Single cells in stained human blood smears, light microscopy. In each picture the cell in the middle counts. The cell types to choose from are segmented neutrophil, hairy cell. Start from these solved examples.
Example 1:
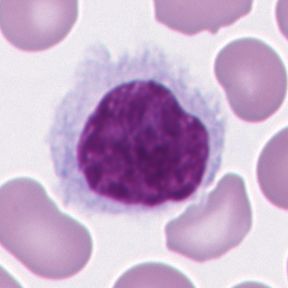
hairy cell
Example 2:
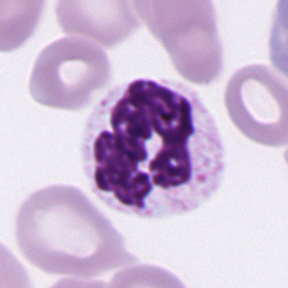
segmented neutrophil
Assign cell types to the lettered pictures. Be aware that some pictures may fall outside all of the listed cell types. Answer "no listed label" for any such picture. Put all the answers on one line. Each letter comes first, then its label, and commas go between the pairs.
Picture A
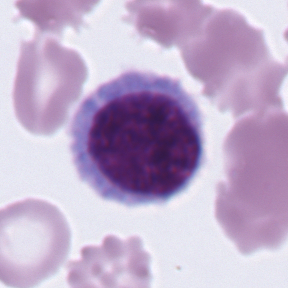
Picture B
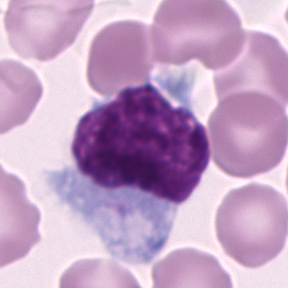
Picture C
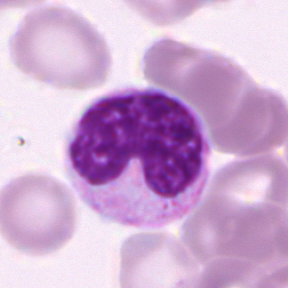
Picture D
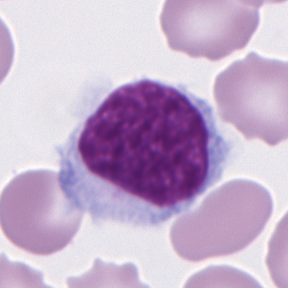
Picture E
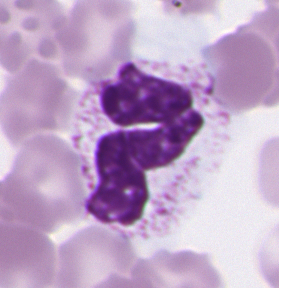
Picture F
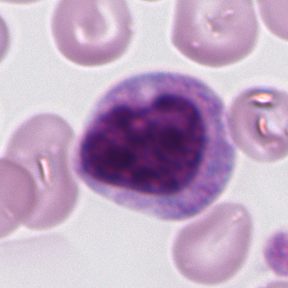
A hairy cell, B hairy cell, C no listed label, D hairy cell, E segmented neutrophil, F no listed label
